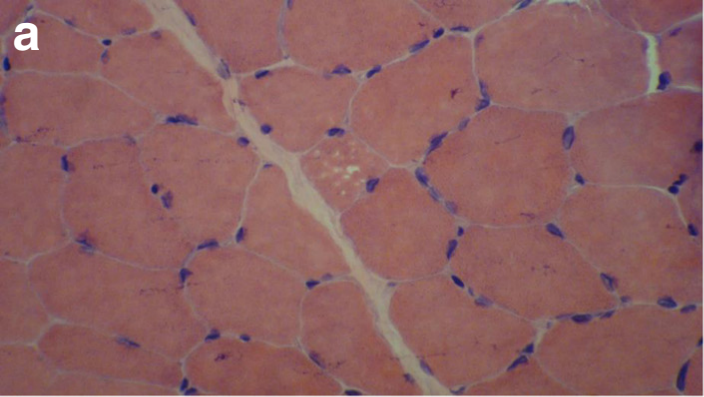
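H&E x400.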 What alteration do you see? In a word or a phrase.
Tiny cytoplasmic vacuoles.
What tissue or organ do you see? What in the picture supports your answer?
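Muscle. Polygonal pink fibers packed side by side in cross-section. Flattened dark nuclei lie at the edges of the fibers. A band of pale connective tissue runs between fiber groups.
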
